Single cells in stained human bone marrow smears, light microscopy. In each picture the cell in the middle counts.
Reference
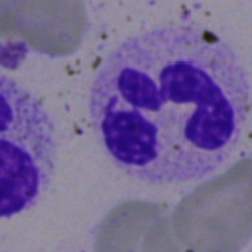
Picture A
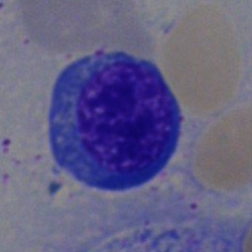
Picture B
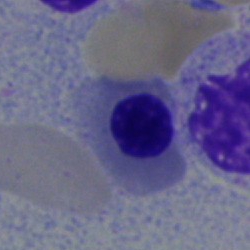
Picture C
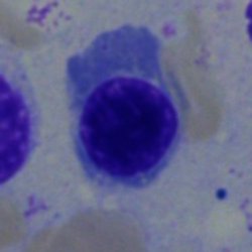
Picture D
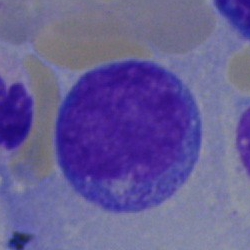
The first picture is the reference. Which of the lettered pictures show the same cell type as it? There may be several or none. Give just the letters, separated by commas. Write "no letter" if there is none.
no letter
